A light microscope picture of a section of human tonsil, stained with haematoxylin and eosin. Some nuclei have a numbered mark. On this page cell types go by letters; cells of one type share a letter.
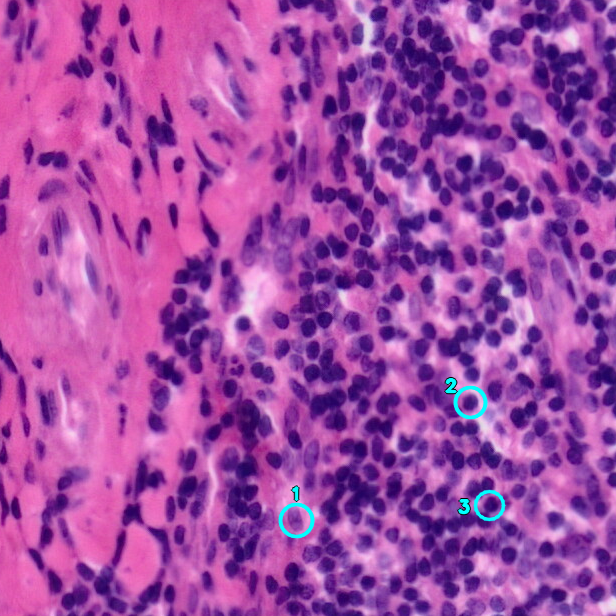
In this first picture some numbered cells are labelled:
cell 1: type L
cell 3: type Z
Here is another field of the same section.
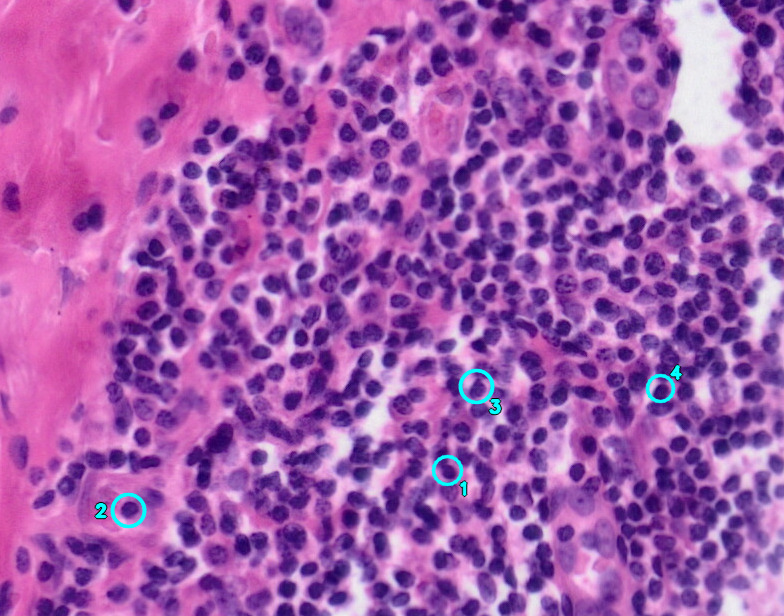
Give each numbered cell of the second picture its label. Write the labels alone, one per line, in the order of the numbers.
type Z
type L
type Z
type Z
